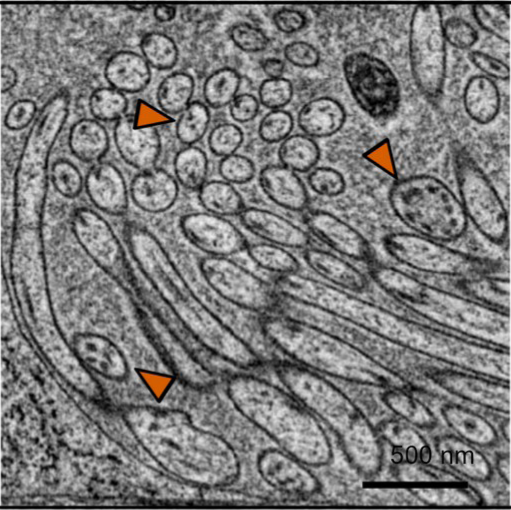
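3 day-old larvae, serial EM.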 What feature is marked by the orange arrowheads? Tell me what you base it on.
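The arrowheads point at round membrane-bound profiles among many similar ones. The marked profiles contain dark dots inside.
Conclusion: cilia with more than one microtubule dublets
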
